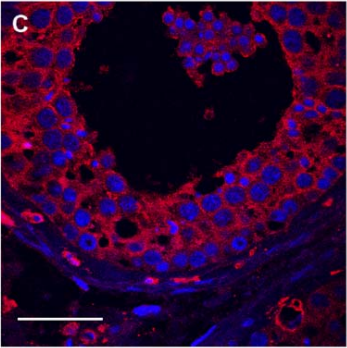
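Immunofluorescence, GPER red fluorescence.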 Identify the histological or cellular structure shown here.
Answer: Seminiferous tubules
